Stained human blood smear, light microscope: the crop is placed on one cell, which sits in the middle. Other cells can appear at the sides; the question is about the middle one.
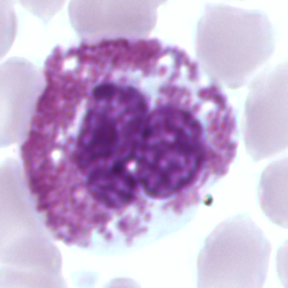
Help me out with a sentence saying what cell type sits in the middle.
In the center of this field lies an eosinophil.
